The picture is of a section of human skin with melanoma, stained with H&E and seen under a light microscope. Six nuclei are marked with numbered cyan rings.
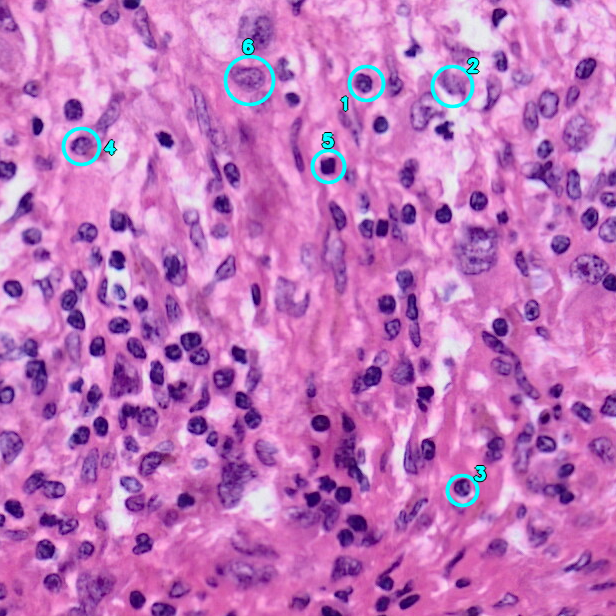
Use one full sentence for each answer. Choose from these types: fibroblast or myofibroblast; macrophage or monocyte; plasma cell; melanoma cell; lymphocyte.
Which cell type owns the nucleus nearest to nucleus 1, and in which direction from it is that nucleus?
The nearest nucleus is that of a macrophage or monocyte and lies to the right of nucleus 1.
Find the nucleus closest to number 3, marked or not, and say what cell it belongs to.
The nearest nucleus to number 3 belongs to a fibroblast or myofibroblast.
